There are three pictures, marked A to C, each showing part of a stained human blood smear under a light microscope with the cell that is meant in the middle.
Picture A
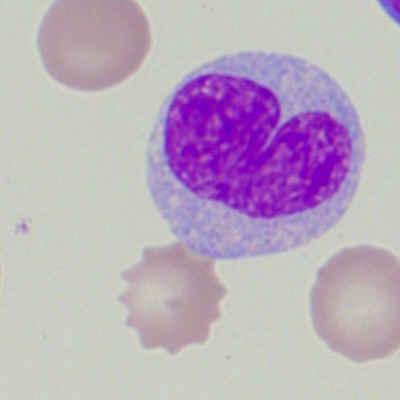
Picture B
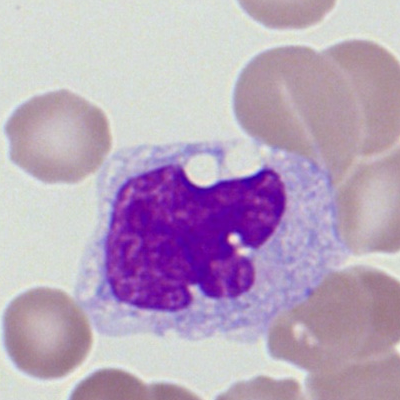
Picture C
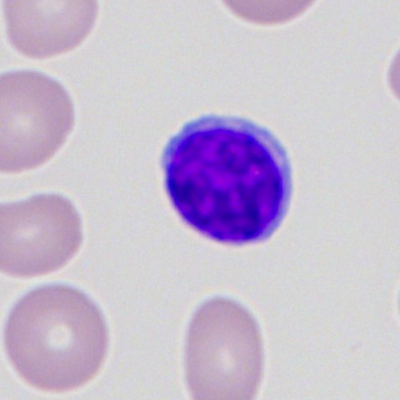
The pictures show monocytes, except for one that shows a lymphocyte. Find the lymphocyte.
C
